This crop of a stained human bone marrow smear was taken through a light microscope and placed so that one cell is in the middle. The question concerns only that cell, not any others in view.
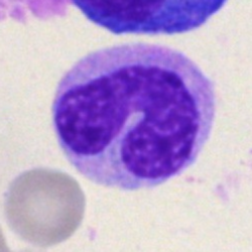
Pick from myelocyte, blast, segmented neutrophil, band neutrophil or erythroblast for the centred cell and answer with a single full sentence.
In the middle of this smear crop is a band neutrophil.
